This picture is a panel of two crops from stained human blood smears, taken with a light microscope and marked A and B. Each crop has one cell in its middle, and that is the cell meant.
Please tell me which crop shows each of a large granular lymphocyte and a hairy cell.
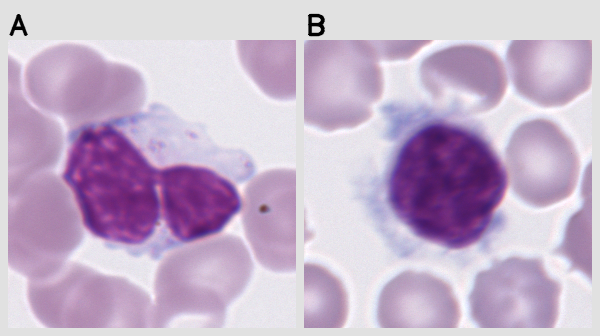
A: large granular lymphocyte
B: hairy cell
